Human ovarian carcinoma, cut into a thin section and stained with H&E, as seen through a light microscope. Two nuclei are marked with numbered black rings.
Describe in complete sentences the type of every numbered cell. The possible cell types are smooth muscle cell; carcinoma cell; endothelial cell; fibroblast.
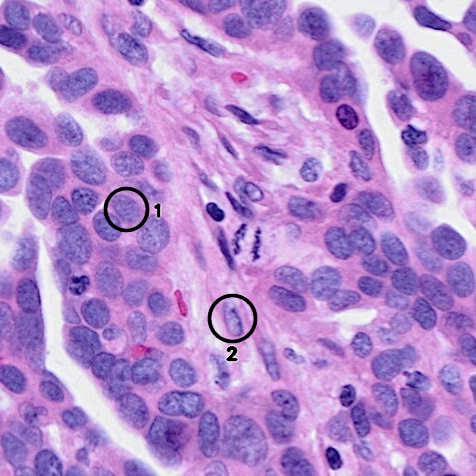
Cell 1 is a carcinoma cell. Cell 2 is a fibroblast.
